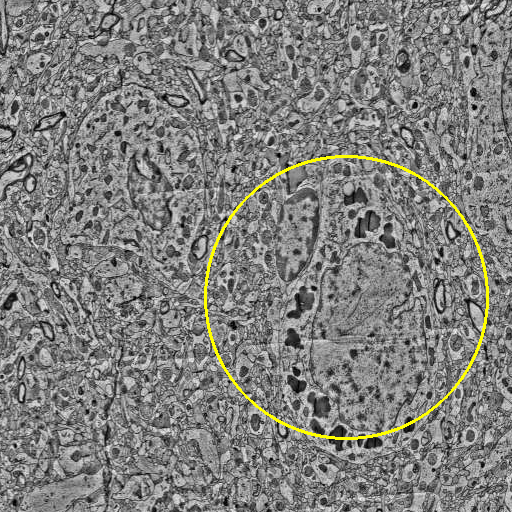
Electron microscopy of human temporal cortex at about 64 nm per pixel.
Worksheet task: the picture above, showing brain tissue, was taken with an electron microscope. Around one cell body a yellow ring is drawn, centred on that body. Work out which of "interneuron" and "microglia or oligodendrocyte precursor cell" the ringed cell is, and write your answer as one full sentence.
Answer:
It is an interneuron whose cell body lies at the centre of the yellow ring.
